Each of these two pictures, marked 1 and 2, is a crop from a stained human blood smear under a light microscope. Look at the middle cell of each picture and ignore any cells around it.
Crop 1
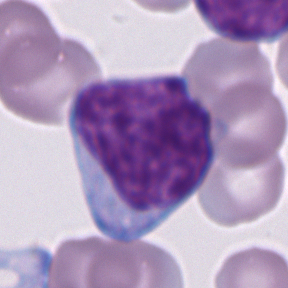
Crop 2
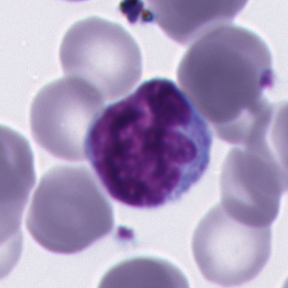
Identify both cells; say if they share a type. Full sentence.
No, crop 1 shows a myeloblast, and the cell in crop 2 is a typical lymphocyte.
